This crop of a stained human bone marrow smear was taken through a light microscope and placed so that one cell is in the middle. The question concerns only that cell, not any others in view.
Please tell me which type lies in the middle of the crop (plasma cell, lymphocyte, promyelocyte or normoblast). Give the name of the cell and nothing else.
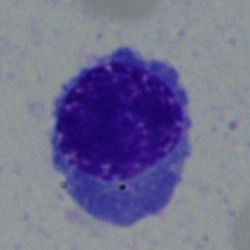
plasma cell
